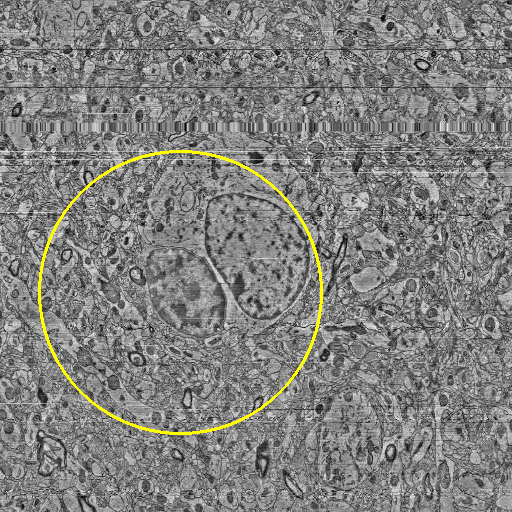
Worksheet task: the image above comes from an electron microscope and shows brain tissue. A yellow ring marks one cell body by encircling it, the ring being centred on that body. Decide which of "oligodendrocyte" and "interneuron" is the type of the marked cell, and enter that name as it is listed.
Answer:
oligodendrocyte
